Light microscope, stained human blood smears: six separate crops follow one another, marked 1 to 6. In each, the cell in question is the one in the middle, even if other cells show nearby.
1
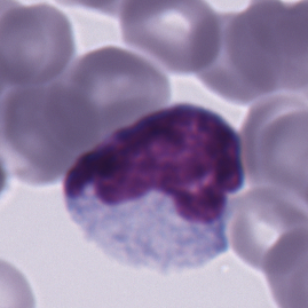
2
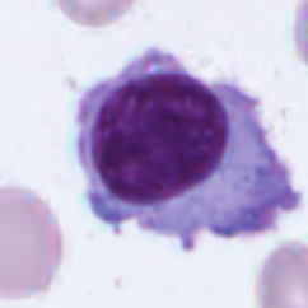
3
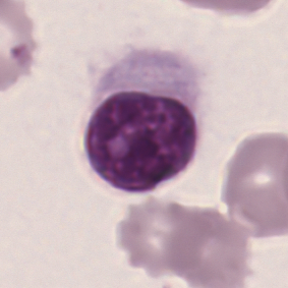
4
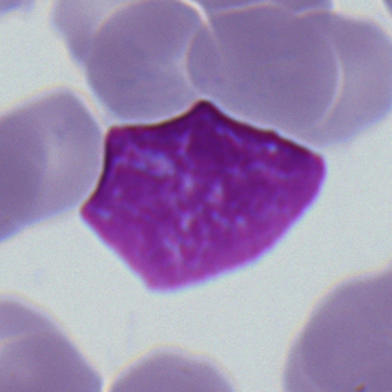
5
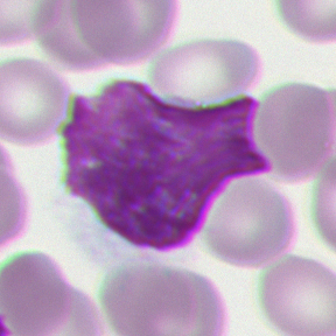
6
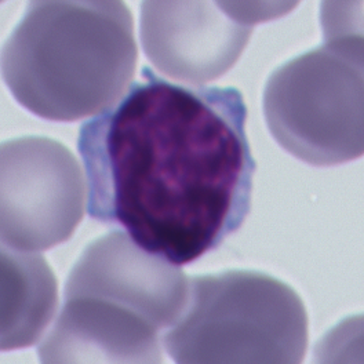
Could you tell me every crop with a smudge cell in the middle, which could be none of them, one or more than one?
4, 5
